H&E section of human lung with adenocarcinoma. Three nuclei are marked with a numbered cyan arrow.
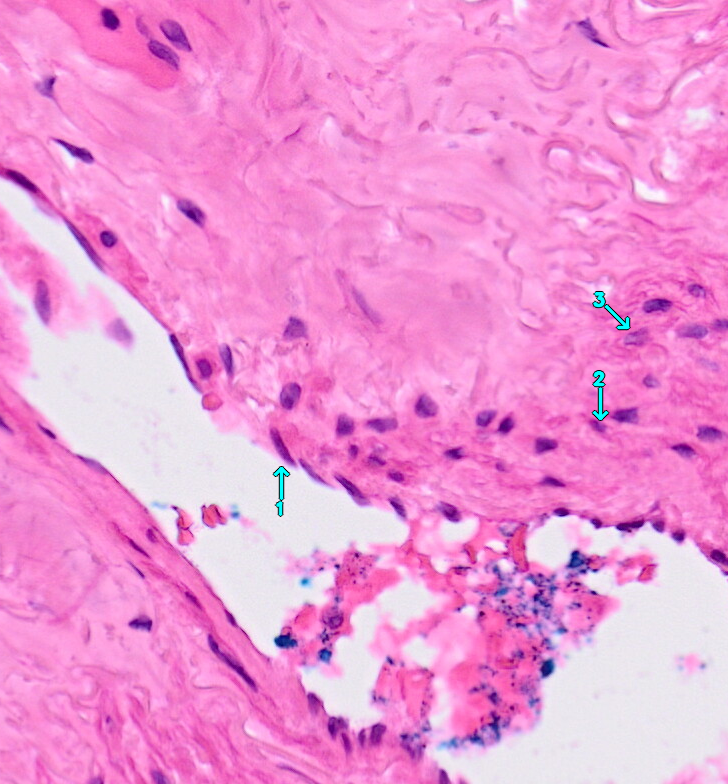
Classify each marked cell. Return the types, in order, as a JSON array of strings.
["endothelial cell", "smooth muscle cell or pericyte", "smooth muscle cell or pericyte"]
